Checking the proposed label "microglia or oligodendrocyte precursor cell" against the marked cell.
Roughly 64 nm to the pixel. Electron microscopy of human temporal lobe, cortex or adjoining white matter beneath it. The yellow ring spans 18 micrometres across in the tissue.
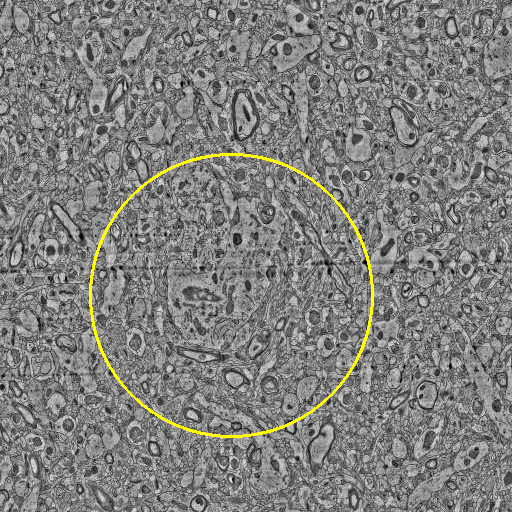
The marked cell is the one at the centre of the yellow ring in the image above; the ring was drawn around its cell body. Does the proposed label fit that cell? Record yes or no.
yes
